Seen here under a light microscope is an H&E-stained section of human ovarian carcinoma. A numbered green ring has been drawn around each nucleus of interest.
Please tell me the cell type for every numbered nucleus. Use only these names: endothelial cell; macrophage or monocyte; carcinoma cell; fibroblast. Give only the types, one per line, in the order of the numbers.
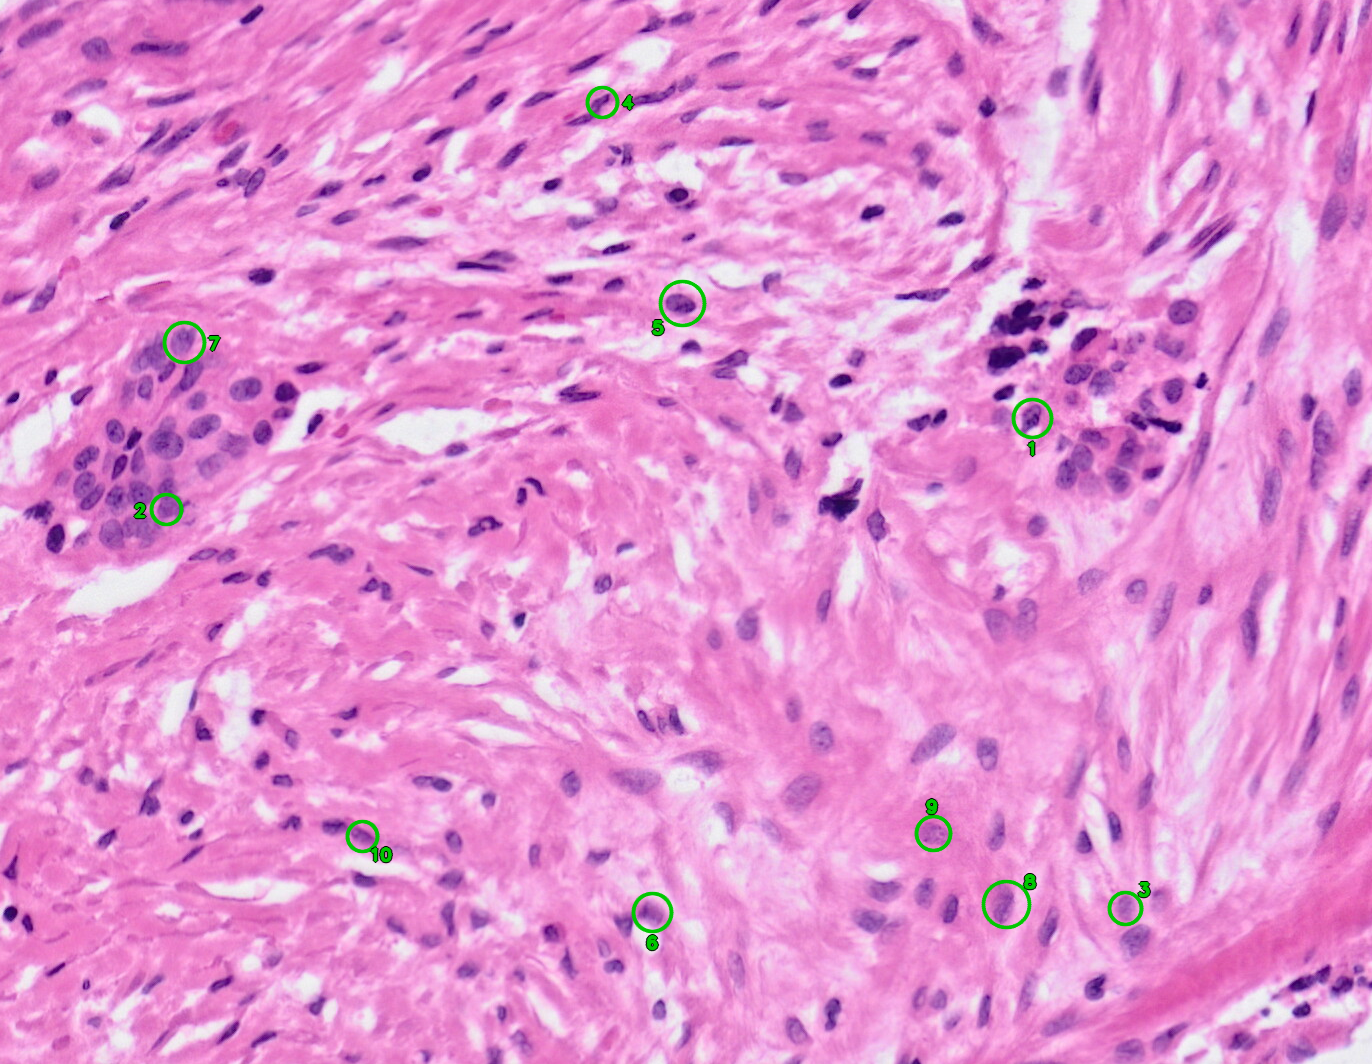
macrophage or monocyte
carcinoma cell
fibroblast
fibroblast
macrophage or monocyte
fibroblast
carcinoma cell
fibroblast
fibroblast
fibroblast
